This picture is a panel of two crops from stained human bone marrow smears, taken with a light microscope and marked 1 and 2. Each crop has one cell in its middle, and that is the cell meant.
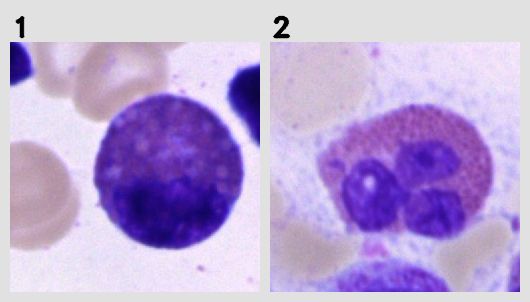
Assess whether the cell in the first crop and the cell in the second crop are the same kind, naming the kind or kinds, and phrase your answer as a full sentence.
Yes, the two central cells, one per crop, are eosinophils.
